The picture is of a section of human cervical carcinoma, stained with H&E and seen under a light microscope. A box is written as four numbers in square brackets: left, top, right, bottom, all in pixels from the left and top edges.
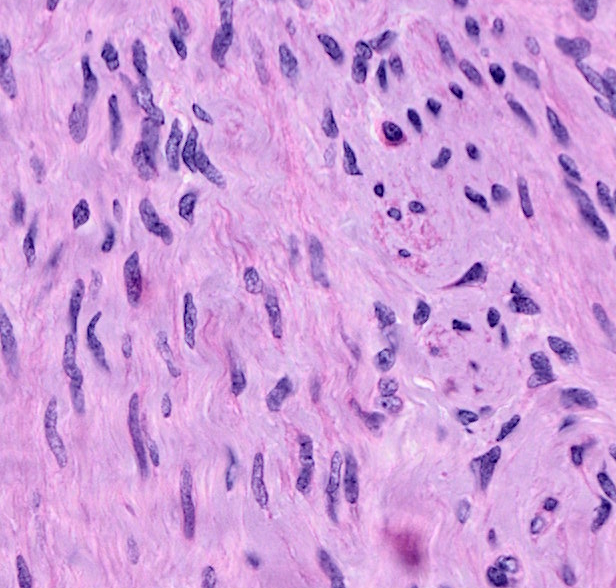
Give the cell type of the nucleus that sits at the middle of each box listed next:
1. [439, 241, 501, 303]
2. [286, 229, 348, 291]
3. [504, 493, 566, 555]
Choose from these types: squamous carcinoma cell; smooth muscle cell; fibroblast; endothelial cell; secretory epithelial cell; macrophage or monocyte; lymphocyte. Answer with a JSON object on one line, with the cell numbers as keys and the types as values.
{"1": "fibroblast", "2": "smooth muscle cell", "3": "smooth muscle cell"}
